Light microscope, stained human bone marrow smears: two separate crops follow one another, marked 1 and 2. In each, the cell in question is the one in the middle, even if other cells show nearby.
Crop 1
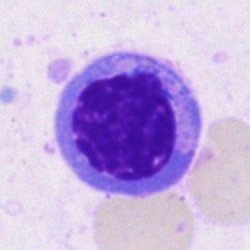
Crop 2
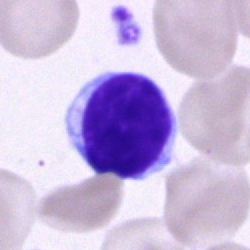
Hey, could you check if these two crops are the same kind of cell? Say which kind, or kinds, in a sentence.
No, an erythroblast is what occupies crop 1, and a lymphocyte is what occupies crop 2.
